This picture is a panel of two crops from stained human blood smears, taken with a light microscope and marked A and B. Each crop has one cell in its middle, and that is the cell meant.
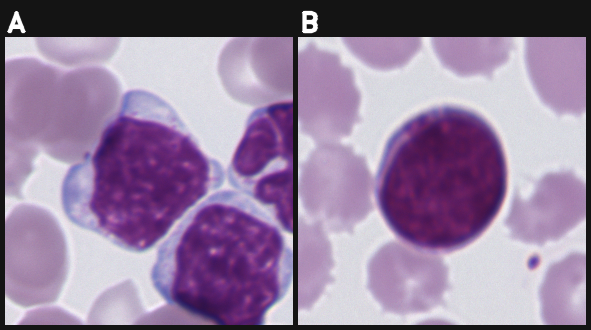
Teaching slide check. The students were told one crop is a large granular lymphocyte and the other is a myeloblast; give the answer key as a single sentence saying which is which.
In crop A the cell is a large granular lymphocyte, while in crop B it is a myeloblast.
